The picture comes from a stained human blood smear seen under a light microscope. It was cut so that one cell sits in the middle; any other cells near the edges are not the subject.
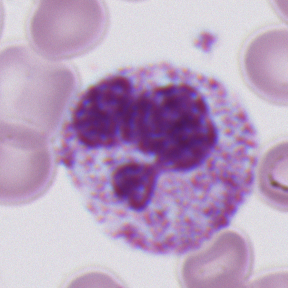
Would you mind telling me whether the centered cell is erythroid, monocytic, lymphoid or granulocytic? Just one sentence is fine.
As for the middle cell, it is a member of the granulocytic lineage.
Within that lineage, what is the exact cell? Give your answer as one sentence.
The cell positioned in the middle of the field is a segmented neutrophil.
